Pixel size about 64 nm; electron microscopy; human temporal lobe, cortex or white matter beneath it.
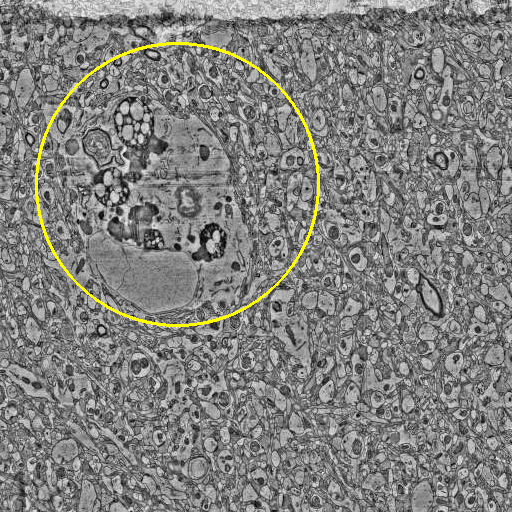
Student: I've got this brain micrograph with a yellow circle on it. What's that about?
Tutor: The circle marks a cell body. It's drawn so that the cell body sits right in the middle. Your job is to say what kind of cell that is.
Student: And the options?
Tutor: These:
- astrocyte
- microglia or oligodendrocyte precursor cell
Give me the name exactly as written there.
astrocyte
